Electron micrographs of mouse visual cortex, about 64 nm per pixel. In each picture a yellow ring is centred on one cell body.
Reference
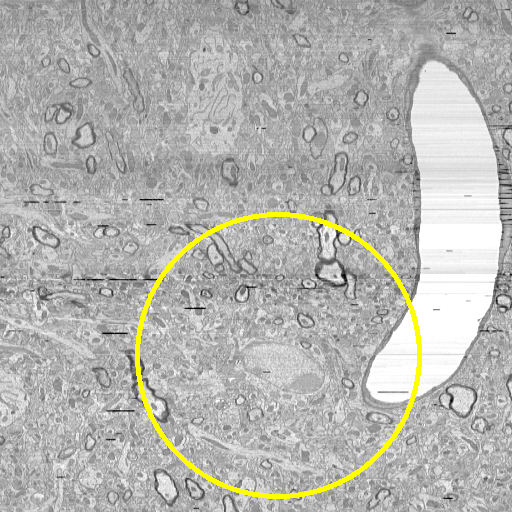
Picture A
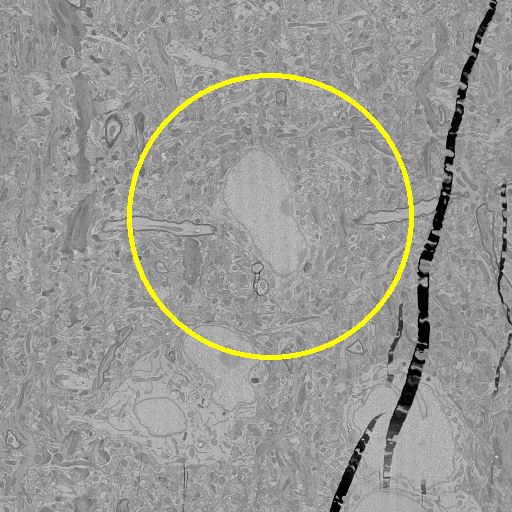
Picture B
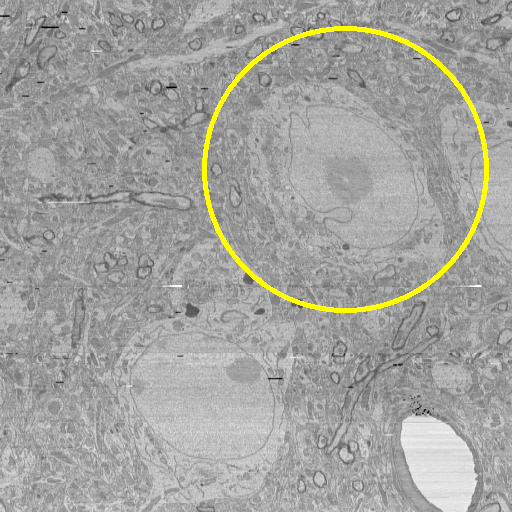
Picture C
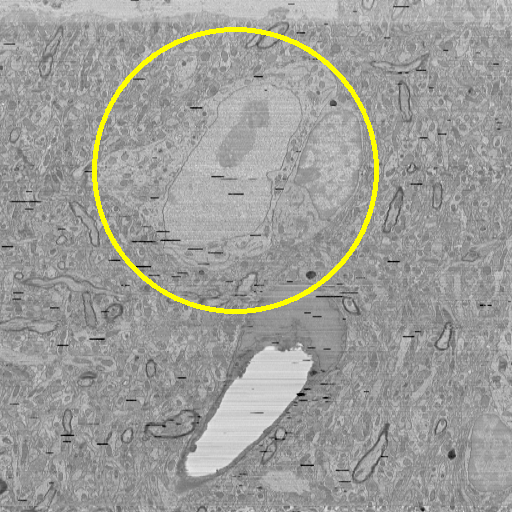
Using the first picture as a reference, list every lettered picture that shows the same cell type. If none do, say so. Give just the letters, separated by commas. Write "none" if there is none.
A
